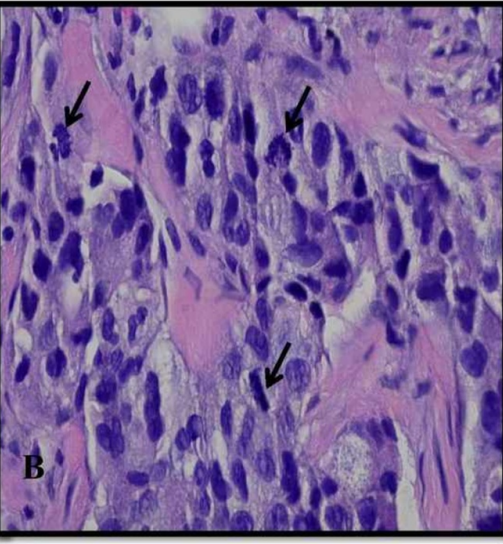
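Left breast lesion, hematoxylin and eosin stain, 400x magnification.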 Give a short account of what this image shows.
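Sheets of enlarged carcinoma cells with large, dark purple nuclei that vary markedly in size and shape, from round to elongated. The cytoplasm is pale pink to lilac, and the cell borders are indistinct. Several cells show clumped, very dark mitotic chromatin. Bands of bright pink collagen run between the groups of cells.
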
